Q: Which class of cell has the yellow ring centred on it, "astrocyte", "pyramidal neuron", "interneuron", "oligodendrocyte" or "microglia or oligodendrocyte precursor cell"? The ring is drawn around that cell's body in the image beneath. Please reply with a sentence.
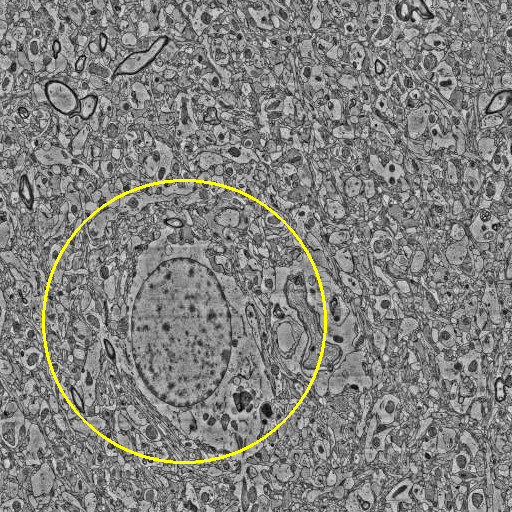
It is centred on an astrocyte.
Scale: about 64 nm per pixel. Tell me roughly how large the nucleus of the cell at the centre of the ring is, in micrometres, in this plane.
About 9 by 7 micrometers for the nucleus, in this plane.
